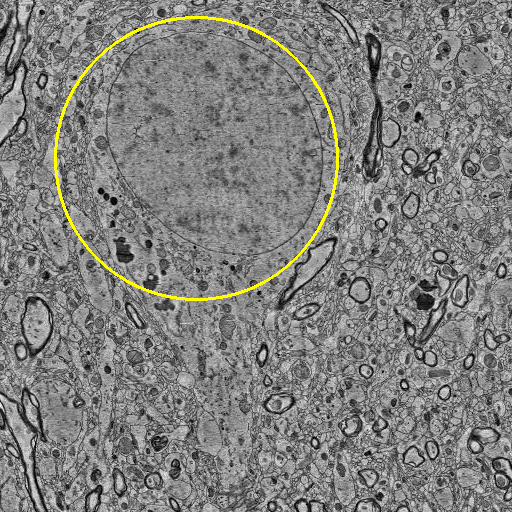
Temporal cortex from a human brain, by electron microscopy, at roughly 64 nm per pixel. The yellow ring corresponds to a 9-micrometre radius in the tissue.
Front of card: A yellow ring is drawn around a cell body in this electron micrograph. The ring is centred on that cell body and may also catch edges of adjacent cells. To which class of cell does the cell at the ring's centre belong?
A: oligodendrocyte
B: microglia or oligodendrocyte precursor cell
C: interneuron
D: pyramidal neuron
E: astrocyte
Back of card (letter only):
D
